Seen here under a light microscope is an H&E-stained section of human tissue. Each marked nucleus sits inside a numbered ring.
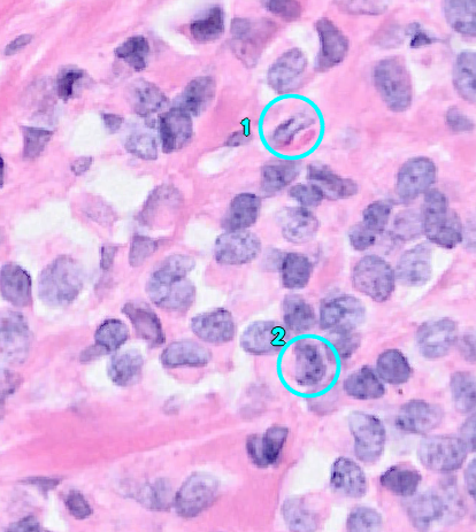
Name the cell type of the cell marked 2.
carcinoma cell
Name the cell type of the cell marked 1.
endothelial cell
